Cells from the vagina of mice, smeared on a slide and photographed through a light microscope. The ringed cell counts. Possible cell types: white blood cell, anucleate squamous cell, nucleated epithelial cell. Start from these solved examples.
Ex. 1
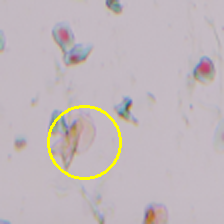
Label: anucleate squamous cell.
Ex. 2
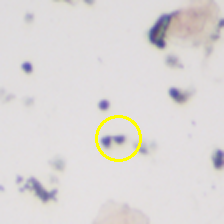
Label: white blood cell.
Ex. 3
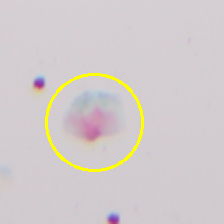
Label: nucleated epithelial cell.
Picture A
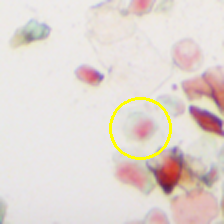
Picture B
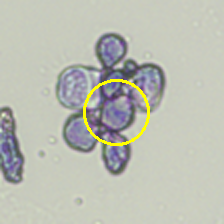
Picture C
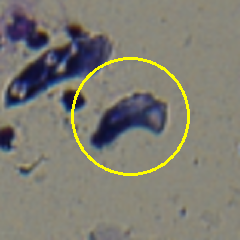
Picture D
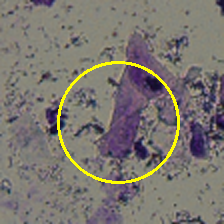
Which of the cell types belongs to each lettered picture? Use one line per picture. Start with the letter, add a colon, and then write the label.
A: nucleated epithelial cell.
B: nucleated epithelial cell.
C: anucleate squamous cell.
D: anucleate squamous cell.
